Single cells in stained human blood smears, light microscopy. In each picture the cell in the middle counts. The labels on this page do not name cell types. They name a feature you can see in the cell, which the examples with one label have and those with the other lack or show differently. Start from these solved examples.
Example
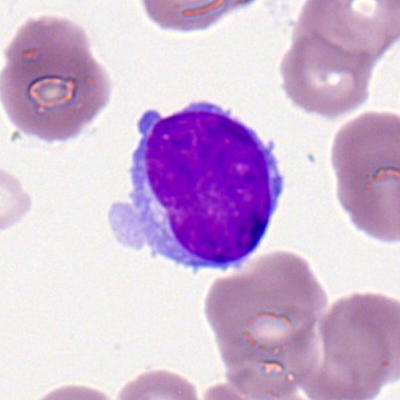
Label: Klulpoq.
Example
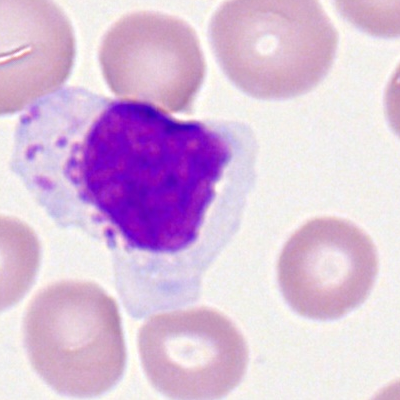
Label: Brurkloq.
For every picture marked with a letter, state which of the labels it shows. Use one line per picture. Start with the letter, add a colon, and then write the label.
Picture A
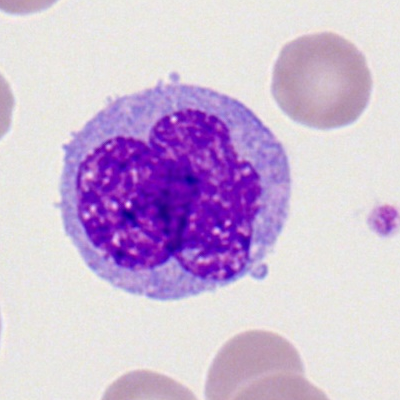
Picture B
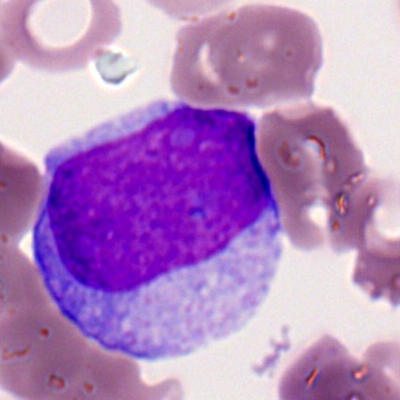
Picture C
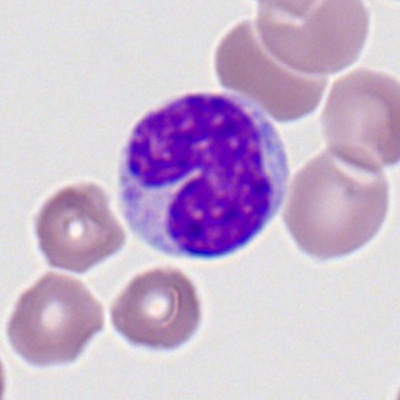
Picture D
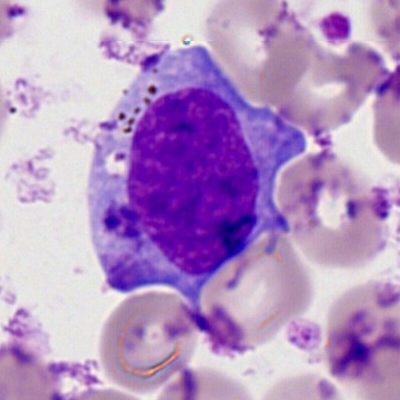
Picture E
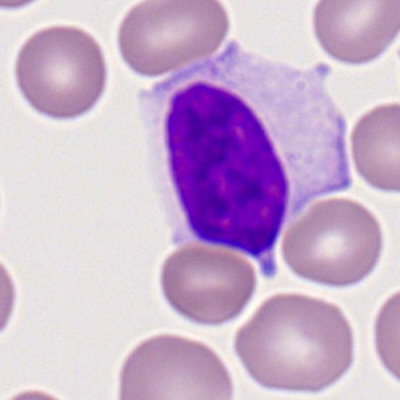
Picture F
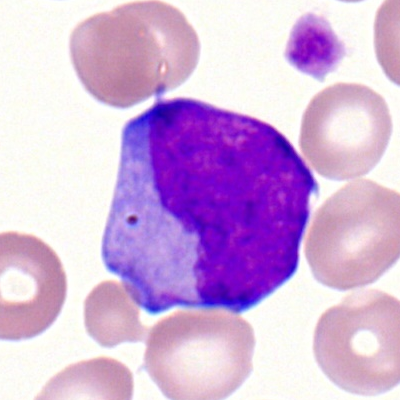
A: Klulpoq.
B: Brurkloq.
C: Klulpoq.
D: Brurkloq.
E: Brurkloq.
F: Brurkloq.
